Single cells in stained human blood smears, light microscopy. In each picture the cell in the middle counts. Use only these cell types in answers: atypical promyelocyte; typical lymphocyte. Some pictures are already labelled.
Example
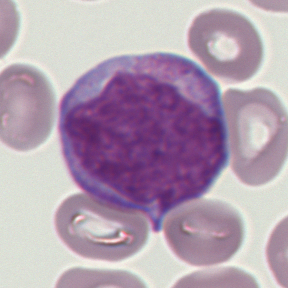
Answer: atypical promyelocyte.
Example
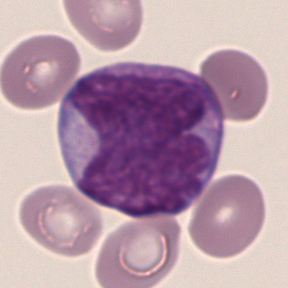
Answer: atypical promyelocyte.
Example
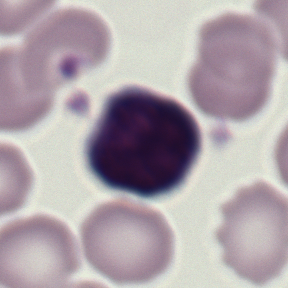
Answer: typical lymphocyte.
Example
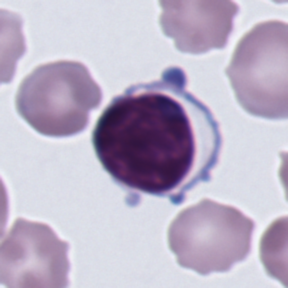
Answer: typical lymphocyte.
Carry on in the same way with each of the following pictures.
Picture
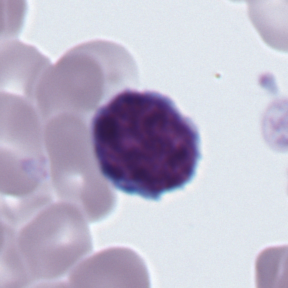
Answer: typical lymphocyte.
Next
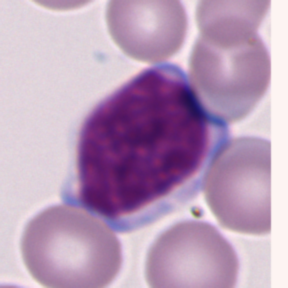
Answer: typical lymphocyte.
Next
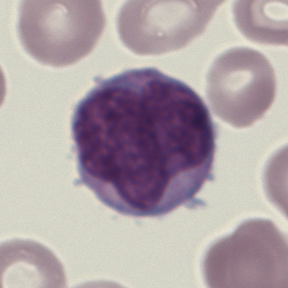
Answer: atypical promyelocyte.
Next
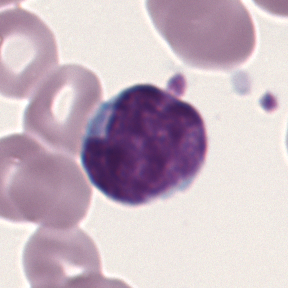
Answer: typical lymphocyte.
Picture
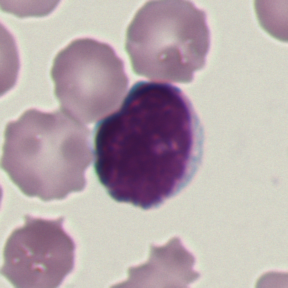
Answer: typical lymphocyte.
